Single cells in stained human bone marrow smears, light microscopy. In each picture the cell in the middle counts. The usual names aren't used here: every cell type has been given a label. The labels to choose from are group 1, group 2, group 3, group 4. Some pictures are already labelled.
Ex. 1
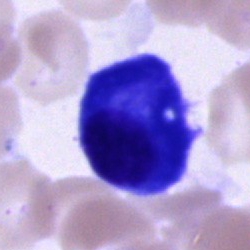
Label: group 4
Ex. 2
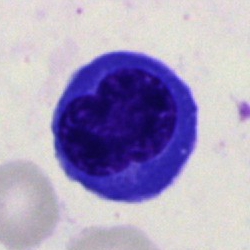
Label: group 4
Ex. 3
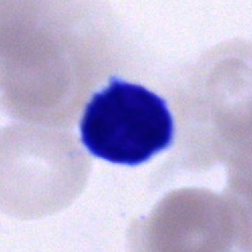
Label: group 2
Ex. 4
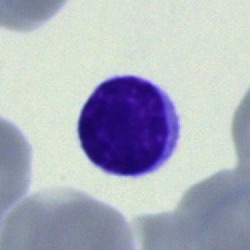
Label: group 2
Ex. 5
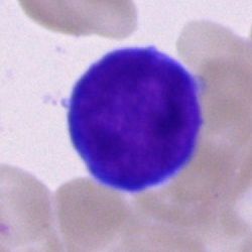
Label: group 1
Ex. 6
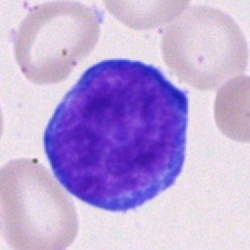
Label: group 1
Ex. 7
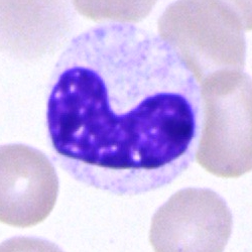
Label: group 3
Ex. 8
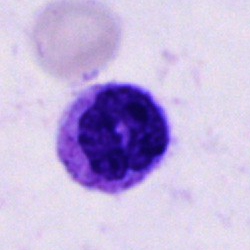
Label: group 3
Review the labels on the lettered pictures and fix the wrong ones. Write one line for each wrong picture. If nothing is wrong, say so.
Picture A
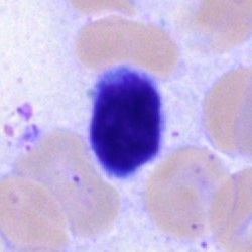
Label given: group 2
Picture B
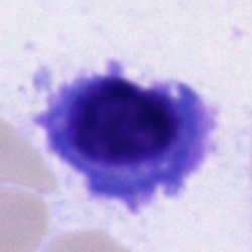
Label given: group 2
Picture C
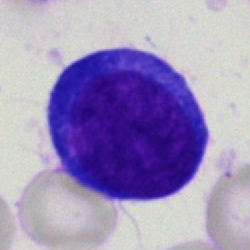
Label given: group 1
B: not group 2 but group 4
